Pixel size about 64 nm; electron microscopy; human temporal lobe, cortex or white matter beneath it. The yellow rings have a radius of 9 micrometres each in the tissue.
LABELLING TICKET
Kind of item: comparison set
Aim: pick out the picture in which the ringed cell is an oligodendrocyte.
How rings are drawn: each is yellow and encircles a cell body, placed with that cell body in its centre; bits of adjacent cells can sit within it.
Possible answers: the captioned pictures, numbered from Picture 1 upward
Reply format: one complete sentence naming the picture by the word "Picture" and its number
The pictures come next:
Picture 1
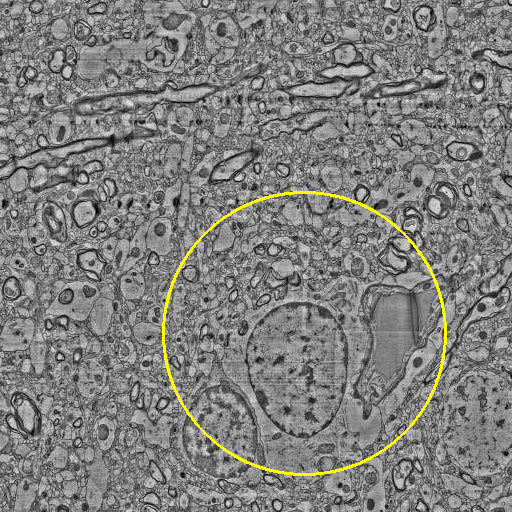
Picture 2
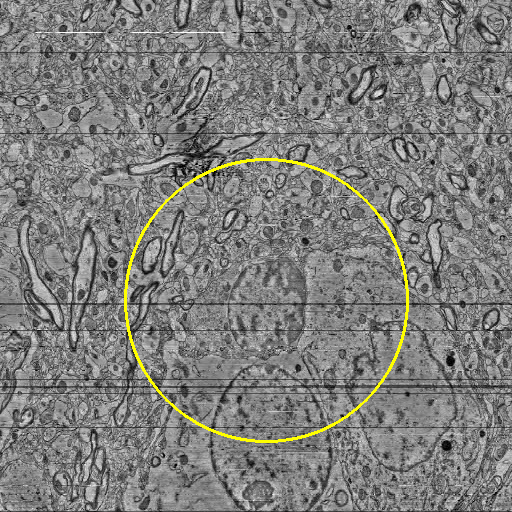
The cell centred inside the yellow ring in Picture 2 is the requested one.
